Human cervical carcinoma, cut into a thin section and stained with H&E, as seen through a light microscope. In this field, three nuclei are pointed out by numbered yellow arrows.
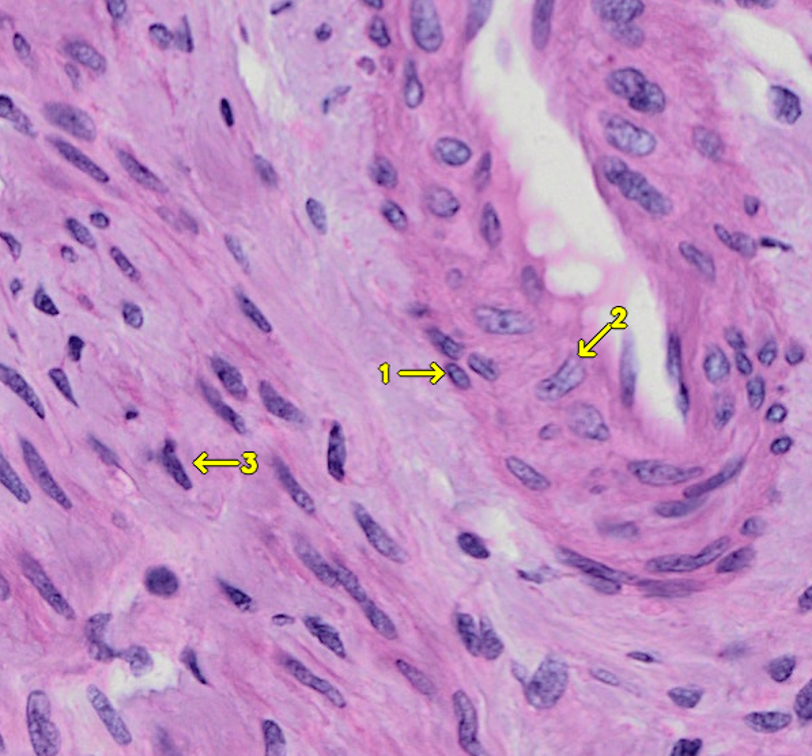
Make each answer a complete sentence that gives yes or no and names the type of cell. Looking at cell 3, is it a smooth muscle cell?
No, cell 3 should be read as a fibroblast instead of a smooth muscle cell.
